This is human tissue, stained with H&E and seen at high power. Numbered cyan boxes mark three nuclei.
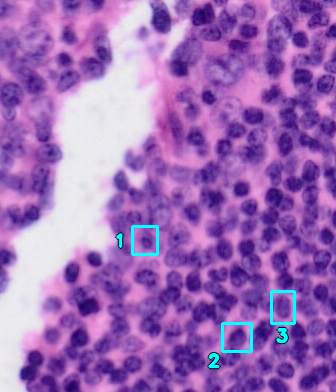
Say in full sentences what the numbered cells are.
Cell 1 is a proliferating B cell, cell 2 is a small lymphocyte and cell 3 is a small lymphocyte.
